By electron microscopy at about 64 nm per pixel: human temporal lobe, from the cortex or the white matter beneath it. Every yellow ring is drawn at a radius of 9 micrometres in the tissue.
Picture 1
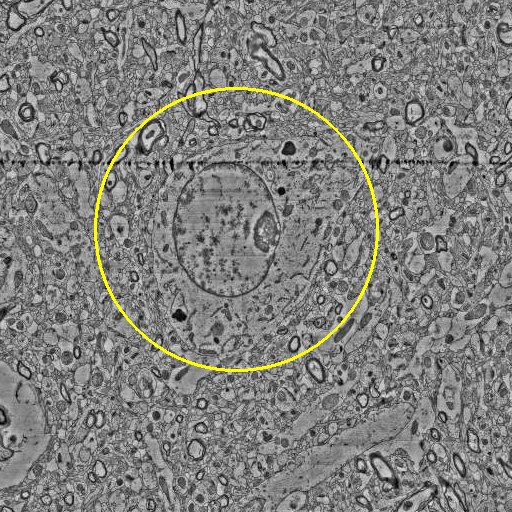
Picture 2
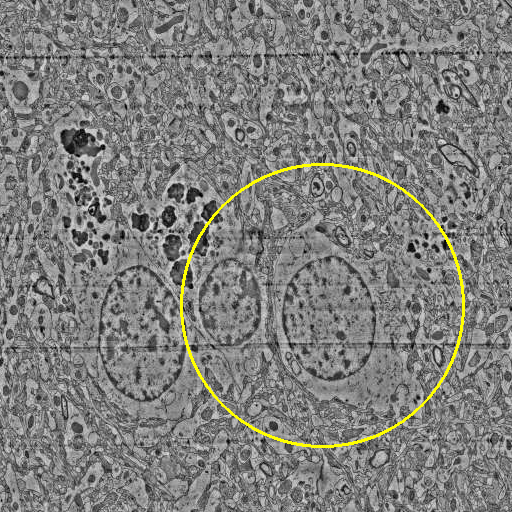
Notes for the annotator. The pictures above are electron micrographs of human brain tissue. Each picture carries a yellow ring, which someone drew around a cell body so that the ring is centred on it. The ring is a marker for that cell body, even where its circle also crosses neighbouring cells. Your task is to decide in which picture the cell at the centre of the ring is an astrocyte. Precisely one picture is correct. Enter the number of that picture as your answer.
2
